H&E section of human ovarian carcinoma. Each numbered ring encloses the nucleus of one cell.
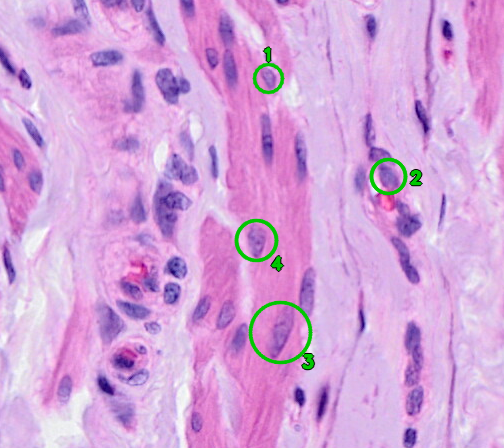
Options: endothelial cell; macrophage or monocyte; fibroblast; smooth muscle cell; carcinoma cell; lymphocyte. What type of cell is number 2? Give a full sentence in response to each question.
The cell bearing label 2 corresponds to an endothelial cell.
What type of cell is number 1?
The cell that goes by number 1 is a smooth muscle cell.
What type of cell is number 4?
The numbered cell 4 is identified here as a smooth muscle cell.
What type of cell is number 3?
Corresponding to a smooth muscle cell is the cell labelled 3.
